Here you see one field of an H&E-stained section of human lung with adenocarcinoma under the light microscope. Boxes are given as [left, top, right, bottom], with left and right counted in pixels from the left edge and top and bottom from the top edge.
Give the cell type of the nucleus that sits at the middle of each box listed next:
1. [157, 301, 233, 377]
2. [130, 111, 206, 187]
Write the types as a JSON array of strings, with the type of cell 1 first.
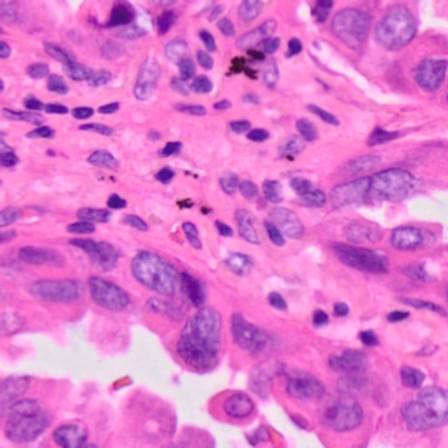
["carcinoma cell", "lymphocyte"]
